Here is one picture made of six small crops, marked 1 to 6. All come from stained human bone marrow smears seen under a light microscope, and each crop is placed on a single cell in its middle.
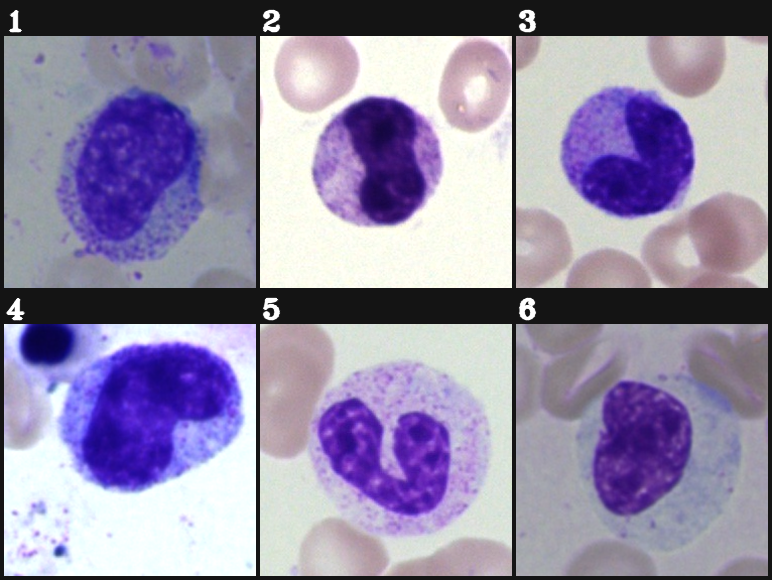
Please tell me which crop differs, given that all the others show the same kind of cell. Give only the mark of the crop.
5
